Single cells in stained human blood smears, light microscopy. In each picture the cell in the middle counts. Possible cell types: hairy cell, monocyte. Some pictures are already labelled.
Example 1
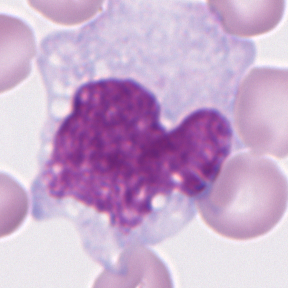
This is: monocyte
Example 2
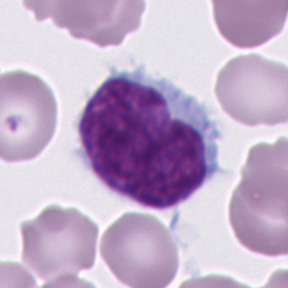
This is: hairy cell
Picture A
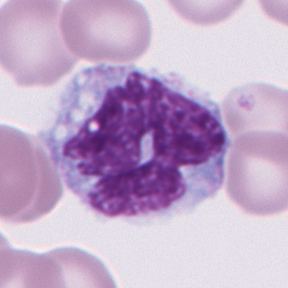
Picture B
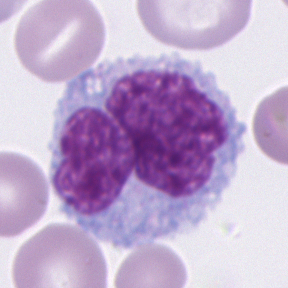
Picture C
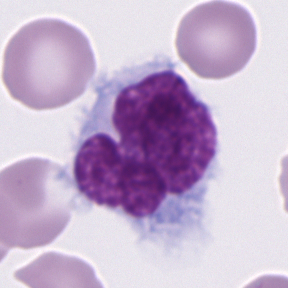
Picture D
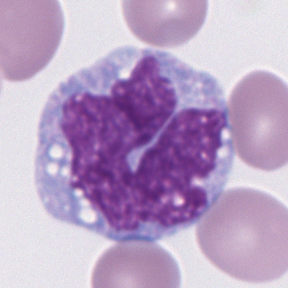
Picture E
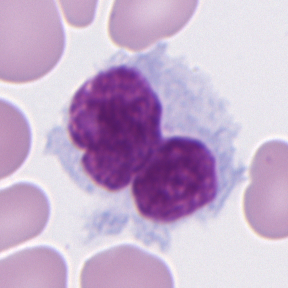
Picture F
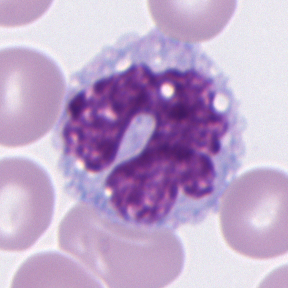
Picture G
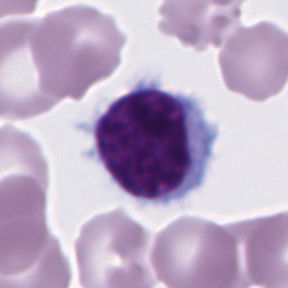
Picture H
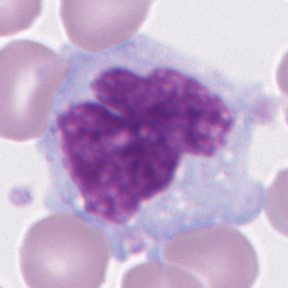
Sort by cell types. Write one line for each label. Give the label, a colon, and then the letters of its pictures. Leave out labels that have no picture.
hairy cell: C, E, G
monocyte: A, B, D, F, H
